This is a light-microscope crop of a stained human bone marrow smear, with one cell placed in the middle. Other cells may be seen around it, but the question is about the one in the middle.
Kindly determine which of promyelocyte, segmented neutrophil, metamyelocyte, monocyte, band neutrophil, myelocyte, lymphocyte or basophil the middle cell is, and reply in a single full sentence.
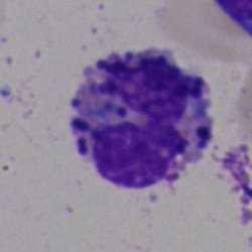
The cell featured at the centre of this crop is a basophil.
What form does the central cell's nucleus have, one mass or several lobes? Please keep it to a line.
This cell has a nucleus made up of two or more segments.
